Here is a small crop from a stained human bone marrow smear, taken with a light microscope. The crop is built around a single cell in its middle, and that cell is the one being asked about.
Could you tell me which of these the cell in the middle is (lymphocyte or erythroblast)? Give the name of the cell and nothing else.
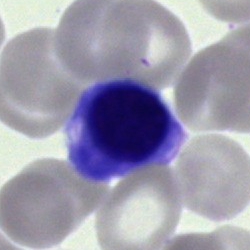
erythroblast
